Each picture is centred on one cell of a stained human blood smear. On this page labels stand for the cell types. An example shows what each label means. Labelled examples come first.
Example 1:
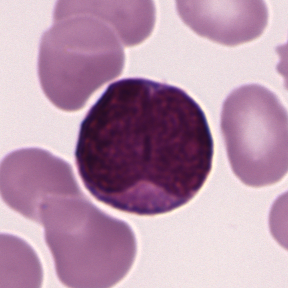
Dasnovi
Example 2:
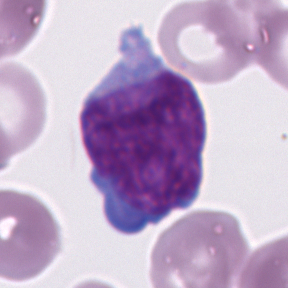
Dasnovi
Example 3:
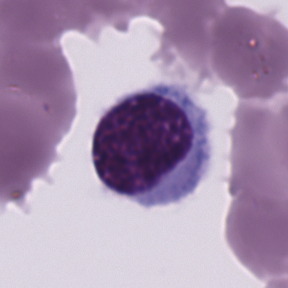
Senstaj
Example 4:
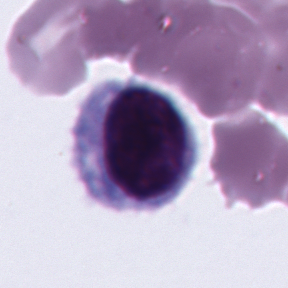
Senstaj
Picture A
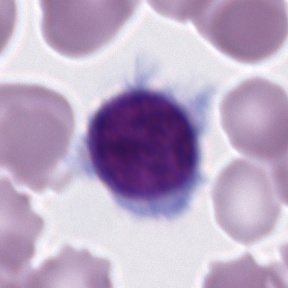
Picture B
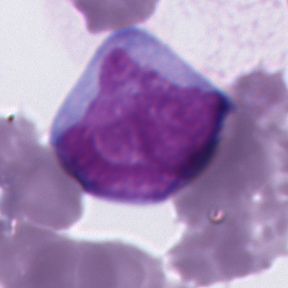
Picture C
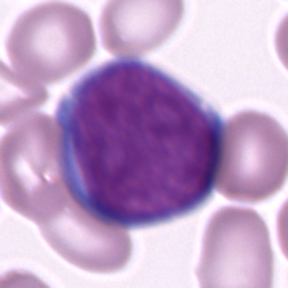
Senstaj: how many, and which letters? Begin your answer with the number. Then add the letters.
1, namely A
